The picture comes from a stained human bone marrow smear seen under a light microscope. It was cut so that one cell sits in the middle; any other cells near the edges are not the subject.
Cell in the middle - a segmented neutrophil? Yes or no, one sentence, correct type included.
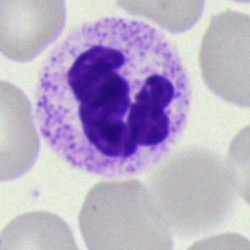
Yes, the cell shown centrally is a segmented neutrophil.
